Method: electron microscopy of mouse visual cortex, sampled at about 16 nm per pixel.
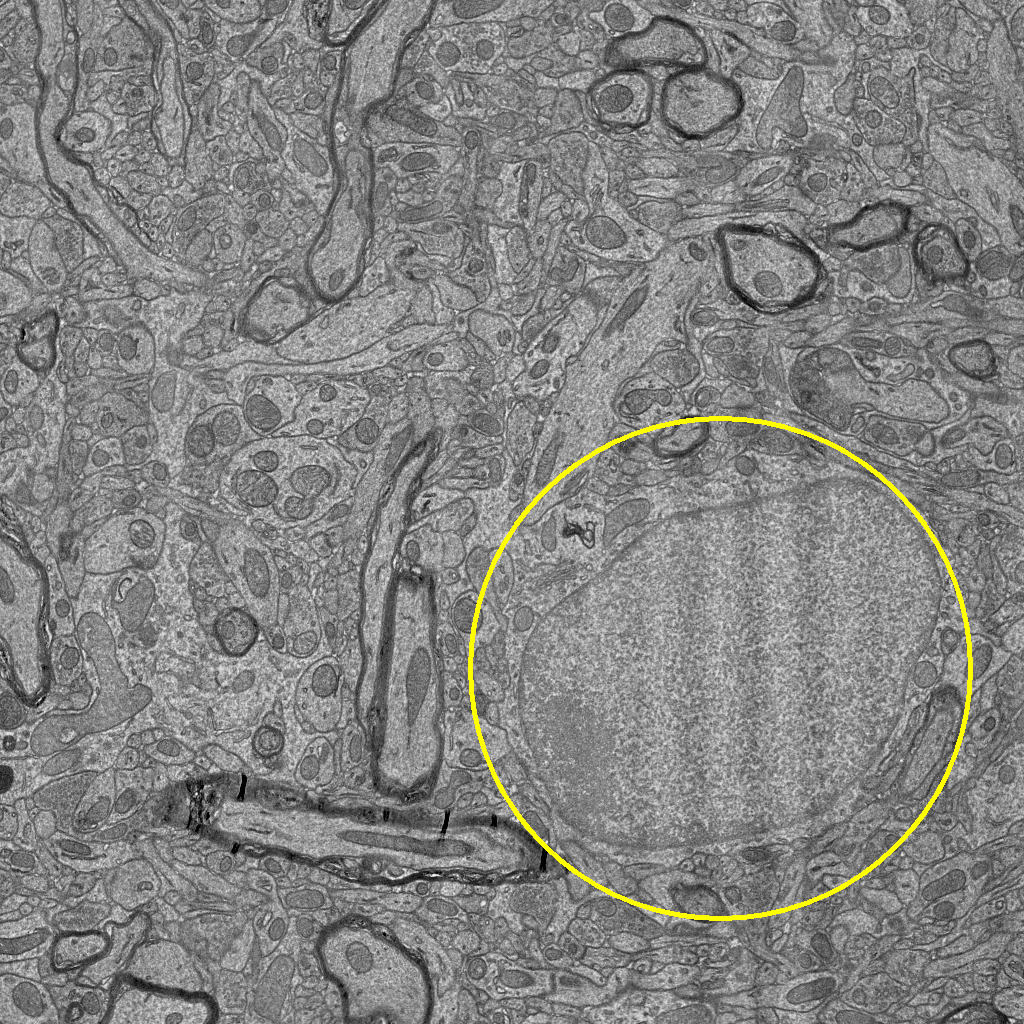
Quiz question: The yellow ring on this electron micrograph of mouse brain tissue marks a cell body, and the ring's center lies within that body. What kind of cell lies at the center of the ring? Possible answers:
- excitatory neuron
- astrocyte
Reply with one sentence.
The ring's center lies on an astrocyte.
